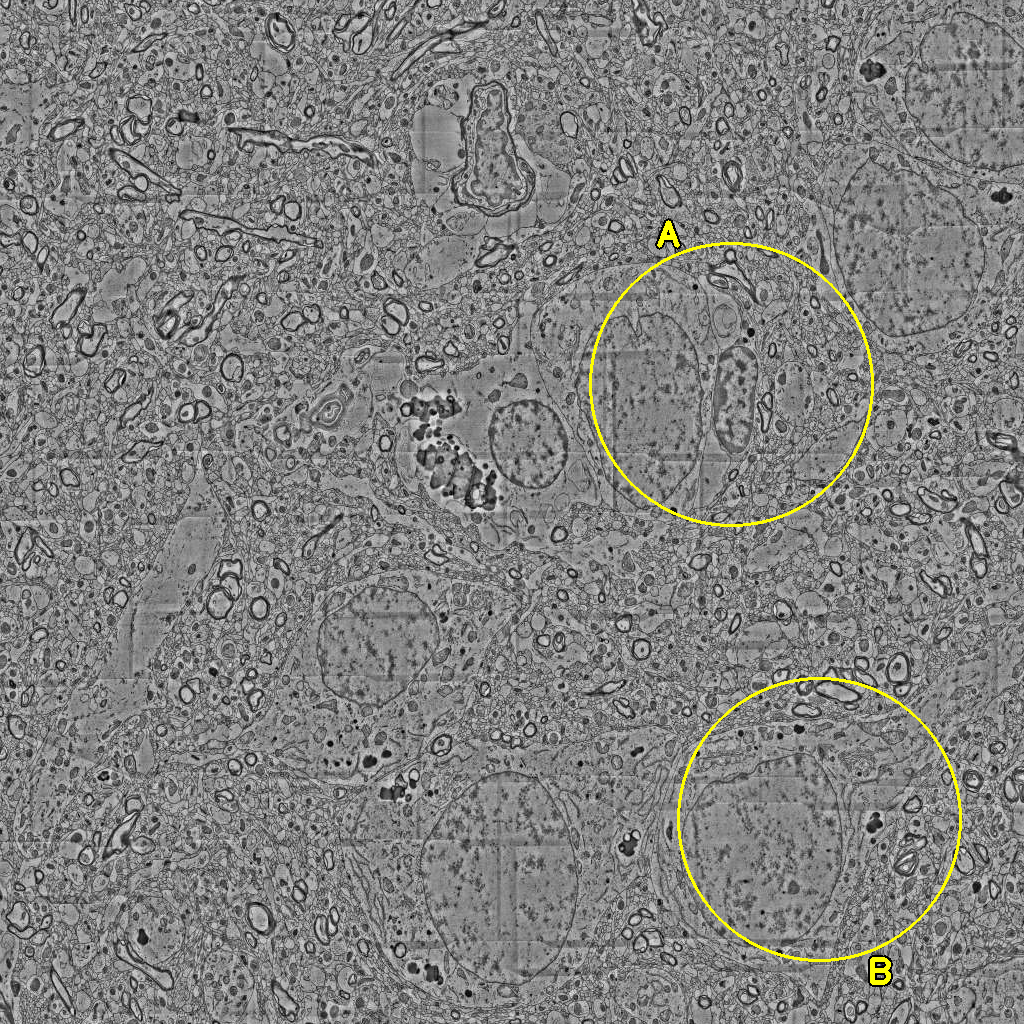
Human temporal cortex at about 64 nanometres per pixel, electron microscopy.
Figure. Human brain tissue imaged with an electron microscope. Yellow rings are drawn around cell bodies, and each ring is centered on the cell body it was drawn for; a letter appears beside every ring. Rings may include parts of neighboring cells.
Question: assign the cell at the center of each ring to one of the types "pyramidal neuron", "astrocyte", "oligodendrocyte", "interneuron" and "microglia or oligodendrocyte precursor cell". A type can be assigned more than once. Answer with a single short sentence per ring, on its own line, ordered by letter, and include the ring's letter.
Centered in ring A is a microglial cell or oligodendrocyte precursor cell.
Centered in ring B is a pyramidal neuron.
